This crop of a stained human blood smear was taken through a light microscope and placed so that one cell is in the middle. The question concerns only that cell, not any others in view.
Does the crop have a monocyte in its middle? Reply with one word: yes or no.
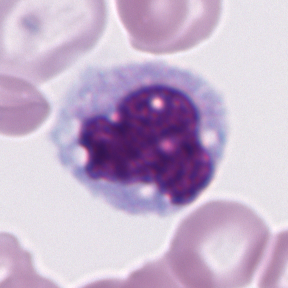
yes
